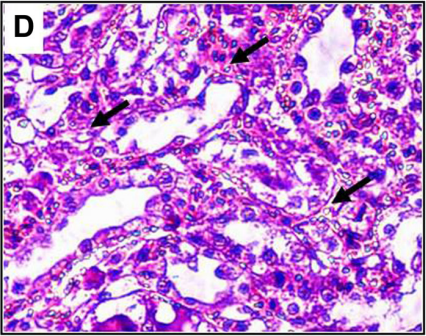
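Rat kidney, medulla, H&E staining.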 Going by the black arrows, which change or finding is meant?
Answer: congestion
